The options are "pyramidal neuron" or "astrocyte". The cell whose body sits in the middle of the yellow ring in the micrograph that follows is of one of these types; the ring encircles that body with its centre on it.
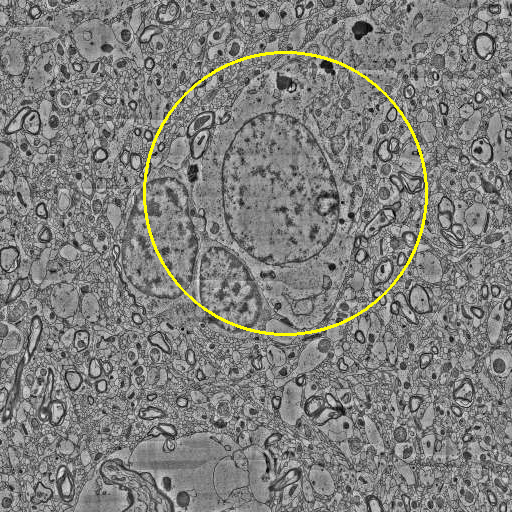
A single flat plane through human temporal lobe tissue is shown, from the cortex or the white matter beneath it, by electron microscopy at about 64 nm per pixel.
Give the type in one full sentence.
Going by the micrograph, the cell centred in the yellow ring is a pyramidal neuron.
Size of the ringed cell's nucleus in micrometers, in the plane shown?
In this plane, the nucleus of the cell at the centre of the ring is about 9 micrometres across.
